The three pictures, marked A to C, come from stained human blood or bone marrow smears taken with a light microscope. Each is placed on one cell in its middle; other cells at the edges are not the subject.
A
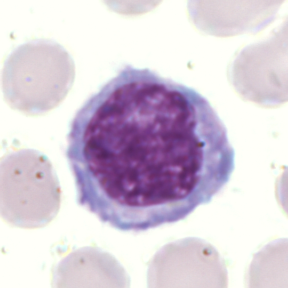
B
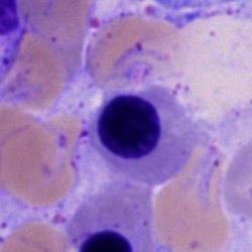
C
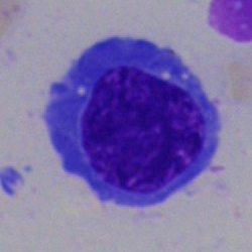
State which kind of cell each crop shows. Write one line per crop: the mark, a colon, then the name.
A: plasma cell
B: normoblast
C: normoblast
